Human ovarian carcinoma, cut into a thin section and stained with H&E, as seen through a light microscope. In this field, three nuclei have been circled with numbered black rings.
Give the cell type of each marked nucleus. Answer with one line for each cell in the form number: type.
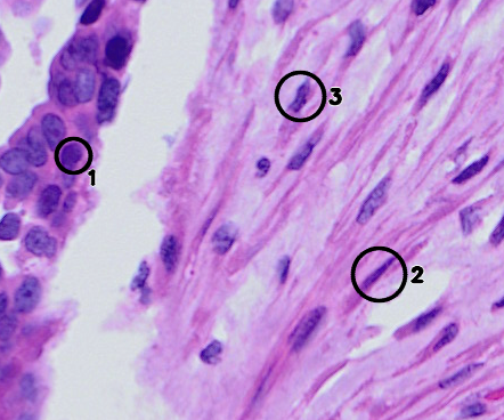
1: carcinoma cell
2: fibroblast
3: fibroblast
